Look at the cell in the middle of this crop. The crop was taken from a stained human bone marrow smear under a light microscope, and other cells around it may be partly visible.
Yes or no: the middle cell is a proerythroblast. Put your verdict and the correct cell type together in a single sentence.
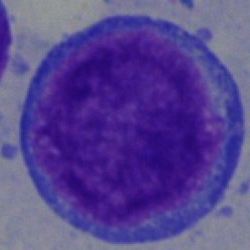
Yes, what sits in the middle of the crop is a proerythroblast.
